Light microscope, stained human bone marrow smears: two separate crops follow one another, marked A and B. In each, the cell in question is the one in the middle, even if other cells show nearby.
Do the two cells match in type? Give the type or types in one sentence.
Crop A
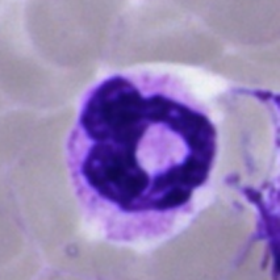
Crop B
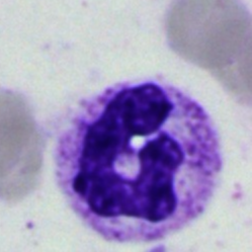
Yes, that is right, both crops show neutrophils.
